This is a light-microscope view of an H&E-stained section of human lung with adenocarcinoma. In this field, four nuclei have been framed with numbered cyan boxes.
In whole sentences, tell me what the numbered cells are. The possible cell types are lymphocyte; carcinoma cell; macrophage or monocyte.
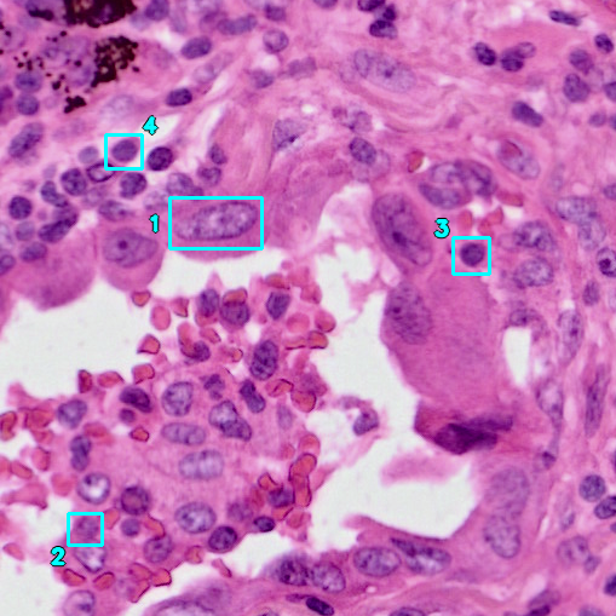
Cell 1 is a carcinoma cell, cell 2 is a macrophage or monocyte, cell 3 is a lymphocyte and cell 4 is a lymphocyte.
